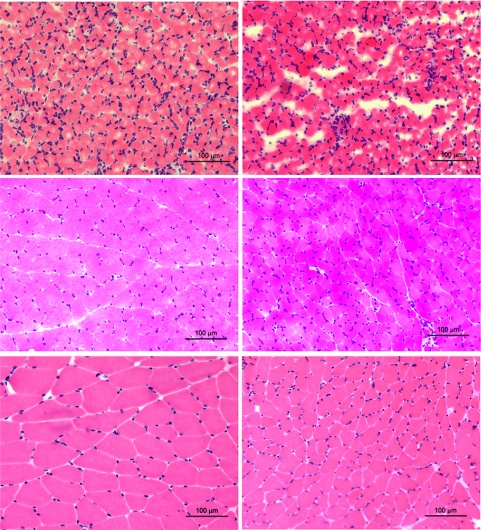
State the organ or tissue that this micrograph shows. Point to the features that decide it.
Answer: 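Muscle. Tissue made of tightly packed polygonal eosinophilic fibers. Nuclei lie at the fiber margins rather than the centre.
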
